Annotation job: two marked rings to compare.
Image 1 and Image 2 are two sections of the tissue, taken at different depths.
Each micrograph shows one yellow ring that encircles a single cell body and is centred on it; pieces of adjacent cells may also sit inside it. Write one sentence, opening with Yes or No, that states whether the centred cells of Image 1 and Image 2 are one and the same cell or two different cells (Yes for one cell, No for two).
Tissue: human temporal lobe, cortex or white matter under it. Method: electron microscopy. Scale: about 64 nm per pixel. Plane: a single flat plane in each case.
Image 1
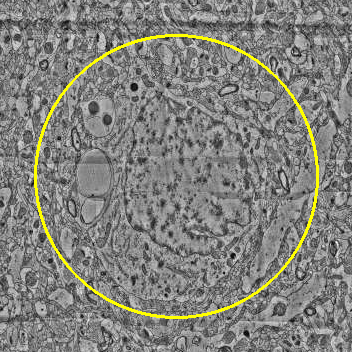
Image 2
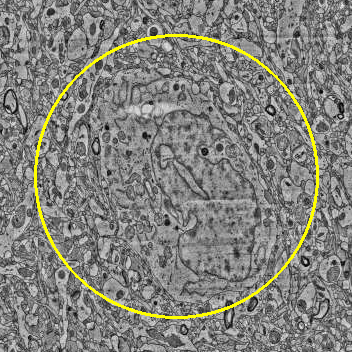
No, the rings mark two cells rather than a single cell.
